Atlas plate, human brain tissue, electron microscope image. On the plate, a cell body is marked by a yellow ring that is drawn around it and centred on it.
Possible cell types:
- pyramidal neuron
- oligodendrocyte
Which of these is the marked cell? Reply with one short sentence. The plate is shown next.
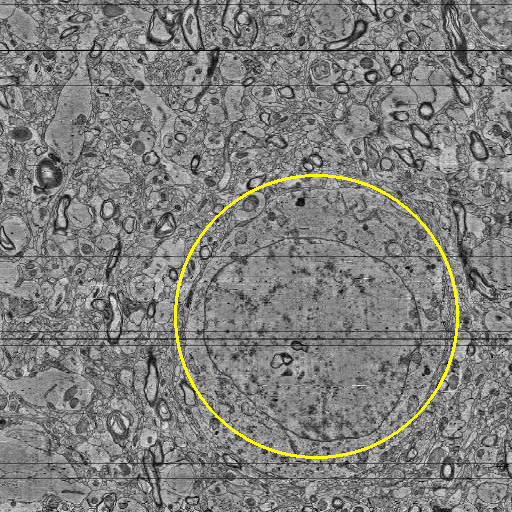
The marked cell is a pyramidal neuron.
